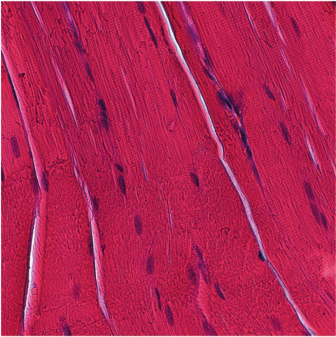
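This is skeletal muscle with intact fibres cut lengthwise. The long pink fibres lie closely side by side in parallel, running diagonally across the field, and show fine regular cross-striations. Elongated, oval dark purple nuclei lie at the edges of the fibres, flattened along their length. Only thin white clefts separate neighbouring fibres, and there is hardly any space between them. Small rounded inflammatory cells are not seen among the fibres, and the fibres are of even staining without swelling or breaks, giving an orderly normal appearance.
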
